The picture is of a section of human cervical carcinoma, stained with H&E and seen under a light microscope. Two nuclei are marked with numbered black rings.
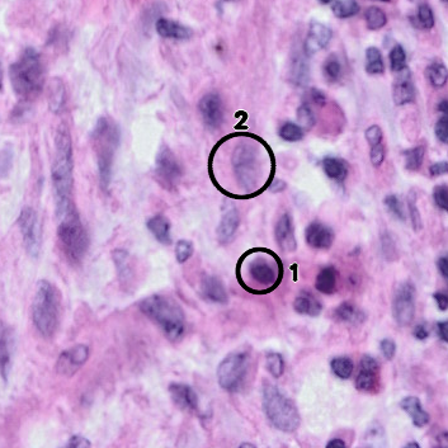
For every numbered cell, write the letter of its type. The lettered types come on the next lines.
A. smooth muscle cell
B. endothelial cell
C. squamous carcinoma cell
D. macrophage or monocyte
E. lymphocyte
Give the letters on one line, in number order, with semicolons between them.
E; B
